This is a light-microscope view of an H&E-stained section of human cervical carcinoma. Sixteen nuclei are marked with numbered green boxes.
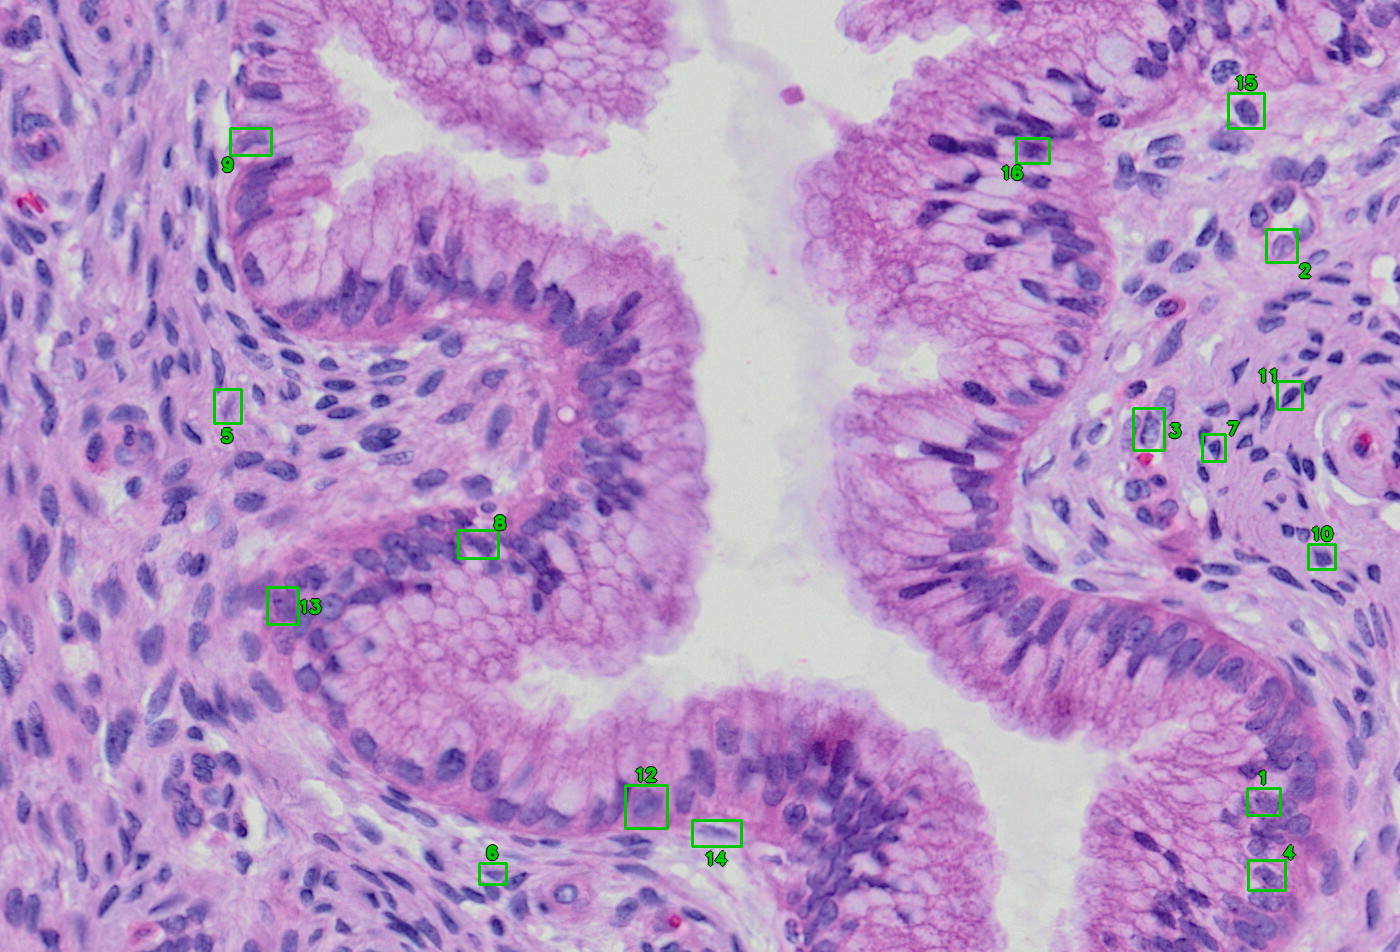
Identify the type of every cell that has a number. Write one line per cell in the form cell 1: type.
cell 1: secretory epithelial cell
cell 2: endothelial cell
cell 3: endothelial cell
cell 4: secretory epithelial cell
cell 5: fibroblast
cell 6: fibroblast
cell 7: fibroblast
cell 8: secretory epithelial cell
cell 9: secretory epithelial cell
cell 10: fibroblast
cell 11: fibroblast
cell 12: secretory epithelial cell
cell 13: secretory epithelial cell
cell 14: fibroblast
cell 15: lymphocyte
cell 16: secretory epithelial cell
